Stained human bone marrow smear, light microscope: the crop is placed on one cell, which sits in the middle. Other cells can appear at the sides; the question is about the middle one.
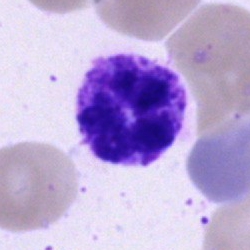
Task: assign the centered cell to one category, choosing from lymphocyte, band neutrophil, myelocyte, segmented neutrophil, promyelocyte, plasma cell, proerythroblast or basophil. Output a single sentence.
What sits at the centre of this crop is a basophil.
